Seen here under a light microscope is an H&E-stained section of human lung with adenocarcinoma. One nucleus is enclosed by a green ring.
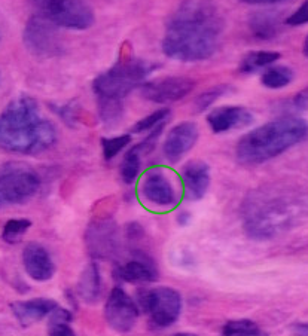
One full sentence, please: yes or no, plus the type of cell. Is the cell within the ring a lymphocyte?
Yes, put very simply, the cell within the ring is a lymphocyte.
